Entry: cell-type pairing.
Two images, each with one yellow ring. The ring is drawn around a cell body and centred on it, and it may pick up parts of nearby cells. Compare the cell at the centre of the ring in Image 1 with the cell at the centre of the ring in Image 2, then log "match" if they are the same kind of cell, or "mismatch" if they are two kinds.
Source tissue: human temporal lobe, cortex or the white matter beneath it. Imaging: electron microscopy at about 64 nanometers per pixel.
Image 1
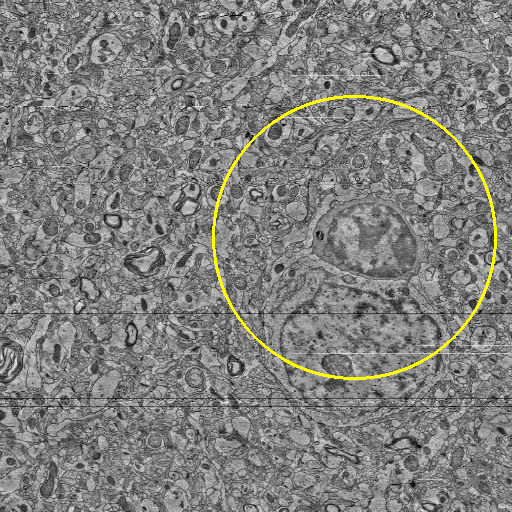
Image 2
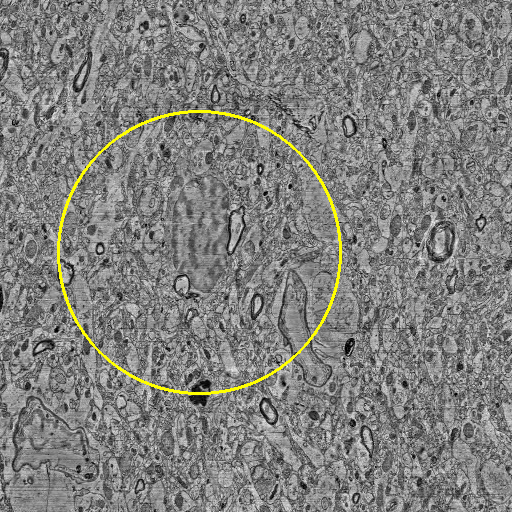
match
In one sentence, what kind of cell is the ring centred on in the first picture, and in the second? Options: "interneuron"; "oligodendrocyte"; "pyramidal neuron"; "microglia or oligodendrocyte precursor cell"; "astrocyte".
In each picture the ringed cell is an oligodendrocyte.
